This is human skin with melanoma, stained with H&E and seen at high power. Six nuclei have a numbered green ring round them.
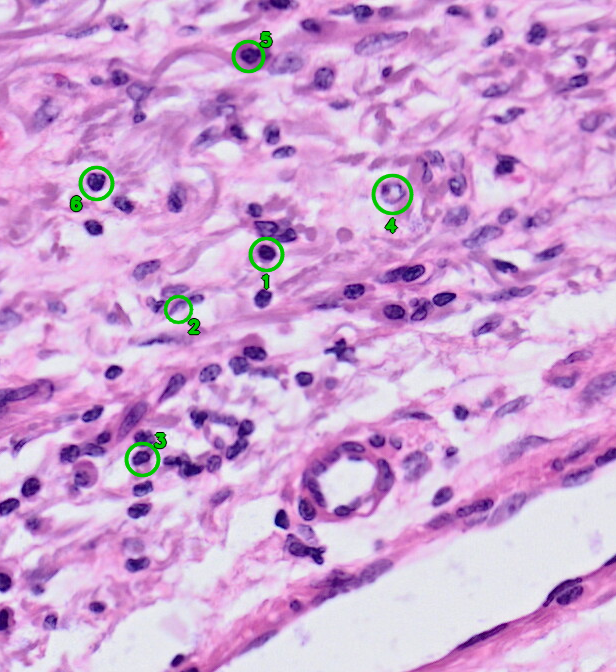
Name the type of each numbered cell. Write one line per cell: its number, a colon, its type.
1: plasma cell
2: fibroblast or myofibroblast
3: lymphocyte
4: fibroblast or myofibroblast
5: plasma cell
6: lymphocyte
